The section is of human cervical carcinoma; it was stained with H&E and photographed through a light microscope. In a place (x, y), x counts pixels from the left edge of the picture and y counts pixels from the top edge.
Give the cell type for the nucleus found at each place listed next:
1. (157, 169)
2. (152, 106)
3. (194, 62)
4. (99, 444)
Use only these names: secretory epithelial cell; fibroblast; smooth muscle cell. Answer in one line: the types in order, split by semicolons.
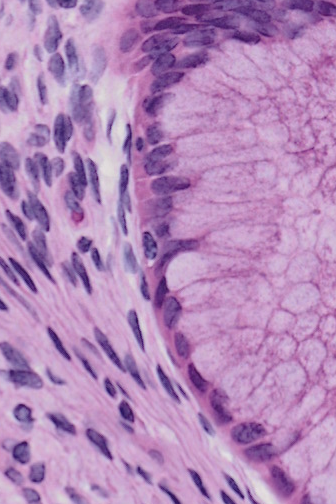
secretory epithelial cell; secretory epithelial cell; secretory epithelial cell; fibroblast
